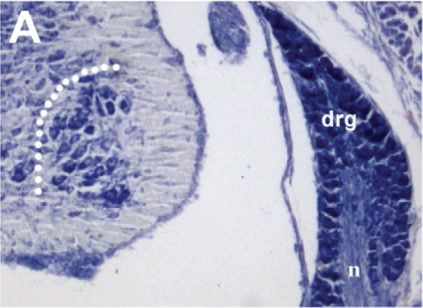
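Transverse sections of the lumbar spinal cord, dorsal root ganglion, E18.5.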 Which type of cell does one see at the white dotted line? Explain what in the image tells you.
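Motoneurons. The white dotted line curves around a cluster of large, darkly stained cell bodies. The cluster lies in the grey matter of the spinal cord, surrounded by paler white matter.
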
